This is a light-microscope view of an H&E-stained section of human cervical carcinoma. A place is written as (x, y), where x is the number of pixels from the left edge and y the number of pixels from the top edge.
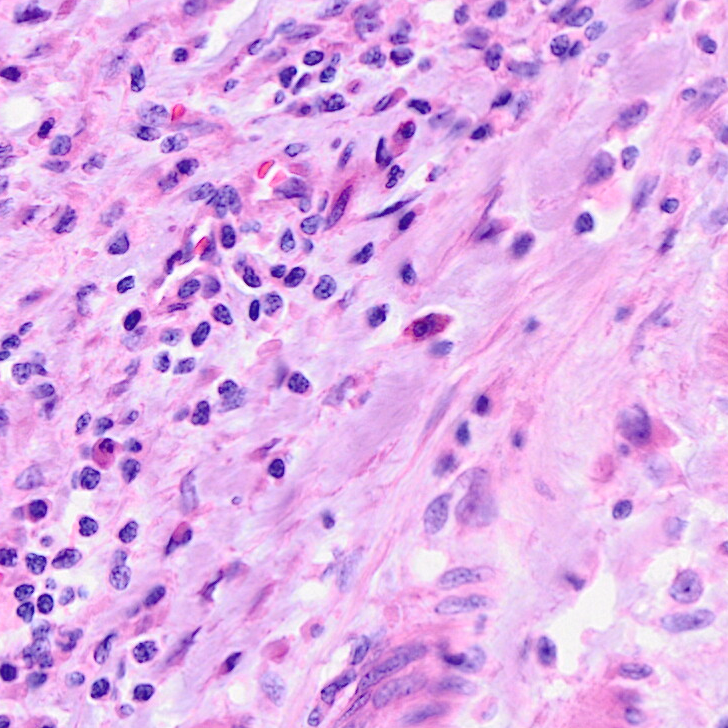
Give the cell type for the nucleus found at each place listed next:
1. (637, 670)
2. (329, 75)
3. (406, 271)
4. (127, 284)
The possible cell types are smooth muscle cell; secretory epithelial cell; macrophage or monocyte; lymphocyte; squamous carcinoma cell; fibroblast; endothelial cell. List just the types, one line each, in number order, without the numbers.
macrophage or monocyte
lymphocyte
lymphocyte
lymphocyte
